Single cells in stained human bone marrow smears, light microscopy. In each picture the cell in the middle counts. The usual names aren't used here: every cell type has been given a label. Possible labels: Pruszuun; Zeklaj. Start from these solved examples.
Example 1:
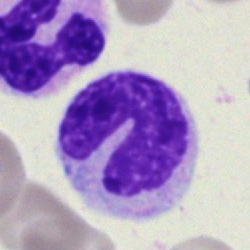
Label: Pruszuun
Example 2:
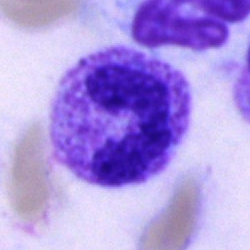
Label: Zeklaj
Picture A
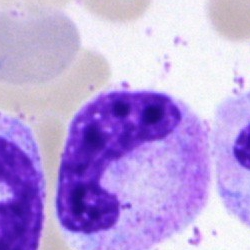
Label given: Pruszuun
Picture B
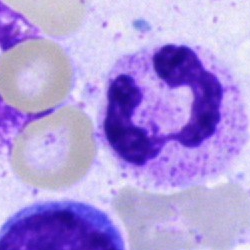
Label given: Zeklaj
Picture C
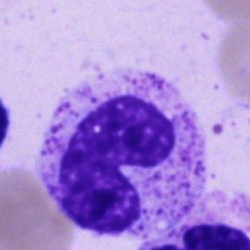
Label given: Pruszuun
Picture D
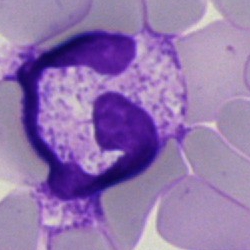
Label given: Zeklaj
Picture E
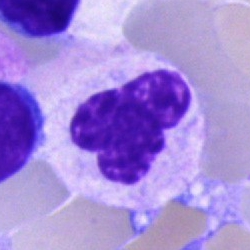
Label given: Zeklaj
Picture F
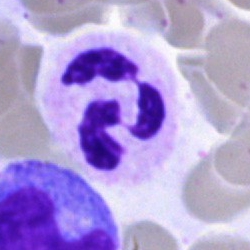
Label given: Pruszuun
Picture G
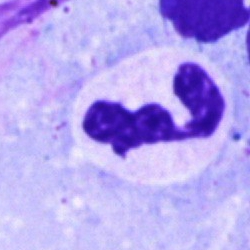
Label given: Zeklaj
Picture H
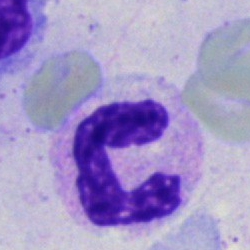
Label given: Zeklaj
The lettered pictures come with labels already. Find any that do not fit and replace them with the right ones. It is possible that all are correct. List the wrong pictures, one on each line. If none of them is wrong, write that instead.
Wrong: F (Pruszuun); correct: Zeklaj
